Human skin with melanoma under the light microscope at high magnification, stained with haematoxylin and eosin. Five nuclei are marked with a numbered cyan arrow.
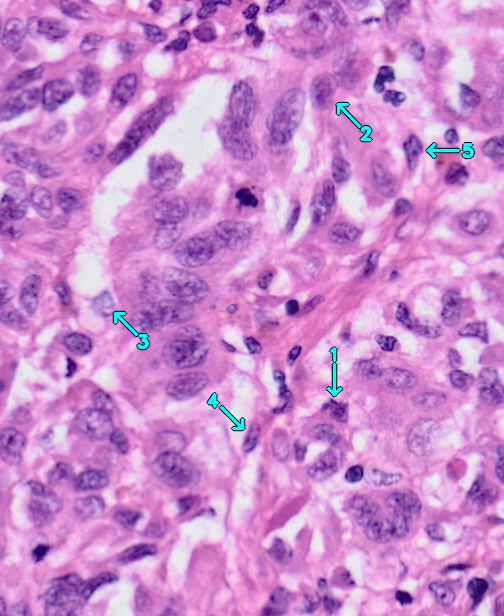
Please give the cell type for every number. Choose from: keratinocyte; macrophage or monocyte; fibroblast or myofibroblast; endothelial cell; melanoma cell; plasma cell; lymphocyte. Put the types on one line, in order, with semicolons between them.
melanoma cell; melanoma cell; macrophage or monocyte; macrophage or monocyte; macrophage or monocyte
